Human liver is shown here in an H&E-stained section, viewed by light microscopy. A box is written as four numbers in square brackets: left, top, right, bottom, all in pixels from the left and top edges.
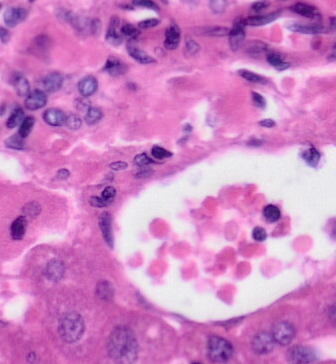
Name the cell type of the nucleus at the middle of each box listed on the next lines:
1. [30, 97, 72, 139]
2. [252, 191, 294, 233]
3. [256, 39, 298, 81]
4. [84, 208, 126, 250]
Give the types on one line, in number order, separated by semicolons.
cholangiocyte; lymphocyte; fibroblast or stellate cell; fibroblast or stellate cell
